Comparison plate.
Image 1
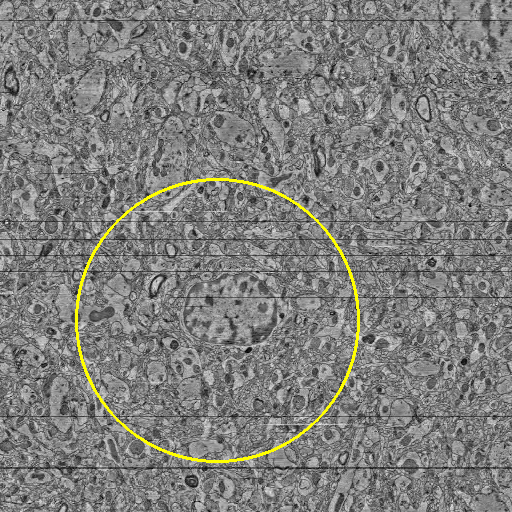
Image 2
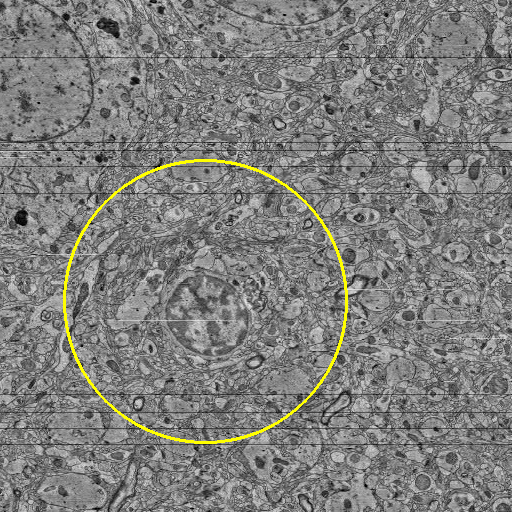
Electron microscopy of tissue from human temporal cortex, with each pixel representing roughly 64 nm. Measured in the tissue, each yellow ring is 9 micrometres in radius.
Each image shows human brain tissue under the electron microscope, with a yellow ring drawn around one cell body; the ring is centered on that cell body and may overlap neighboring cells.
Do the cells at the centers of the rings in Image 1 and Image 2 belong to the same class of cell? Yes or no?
no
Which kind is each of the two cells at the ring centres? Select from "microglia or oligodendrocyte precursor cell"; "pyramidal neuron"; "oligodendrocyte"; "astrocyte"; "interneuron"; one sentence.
The cell at the centre of the ring is a microglial cell or oligodendrocyte precursor cell in the first picture and an oligodendrocyte in the second.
